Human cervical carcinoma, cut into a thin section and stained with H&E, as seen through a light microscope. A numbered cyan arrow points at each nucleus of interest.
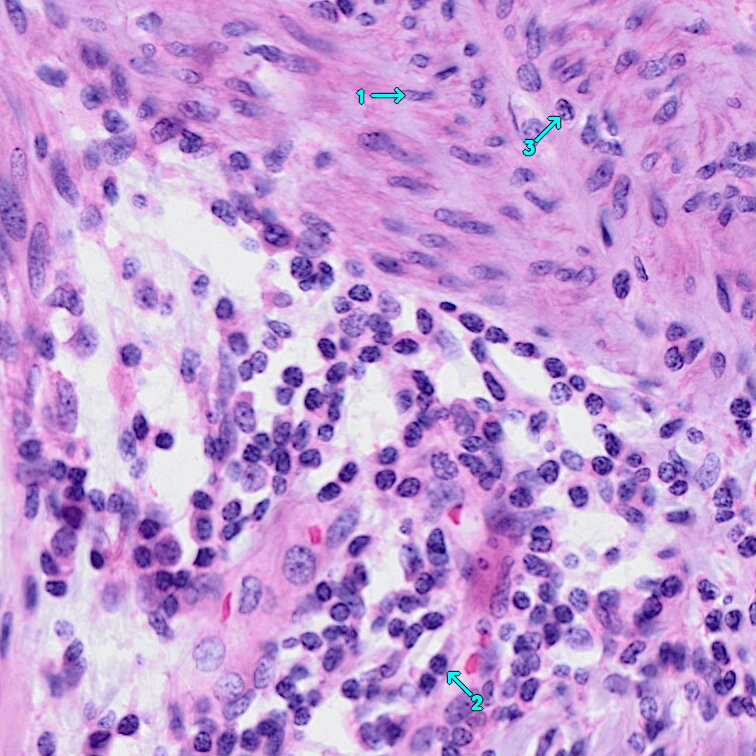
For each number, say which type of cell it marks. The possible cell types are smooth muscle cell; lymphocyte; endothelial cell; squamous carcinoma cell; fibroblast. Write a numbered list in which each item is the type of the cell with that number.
1. smooth muscle cell
2. lymphocyte
3. lymphocyte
